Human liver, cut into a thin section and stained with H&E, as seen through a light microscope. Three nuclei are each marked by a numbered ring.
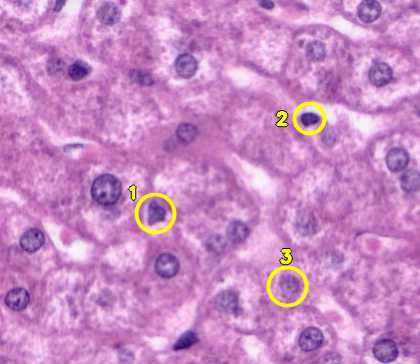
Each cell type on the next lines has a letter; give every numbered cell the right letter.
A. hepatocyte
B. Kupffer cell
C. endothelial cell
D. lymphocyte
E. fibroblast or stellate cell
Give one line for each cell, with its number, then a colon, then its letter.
1: C
2: D
3: A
